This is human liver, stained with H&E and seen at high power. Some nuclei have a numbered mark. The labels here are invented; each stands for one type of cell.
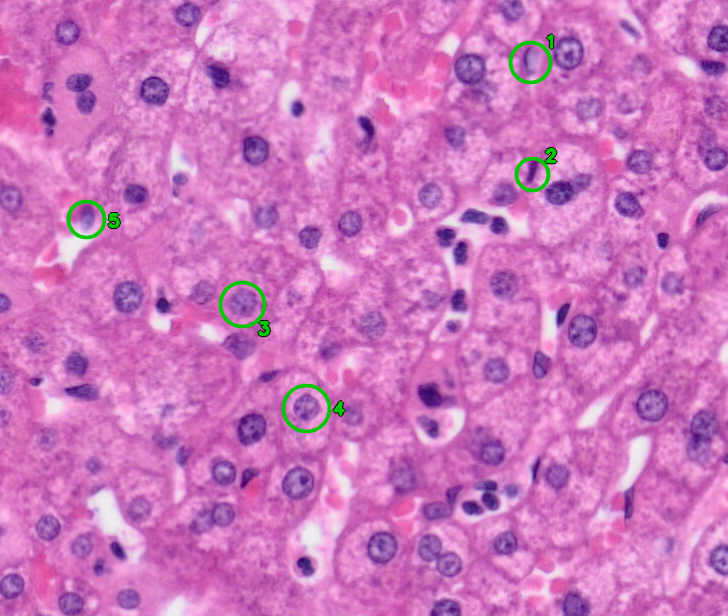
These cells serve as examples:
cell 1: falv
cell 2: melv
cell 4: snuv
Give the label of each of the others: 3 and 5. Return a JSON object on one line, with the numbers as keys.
{"3": "snuv", "5": "falv"}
